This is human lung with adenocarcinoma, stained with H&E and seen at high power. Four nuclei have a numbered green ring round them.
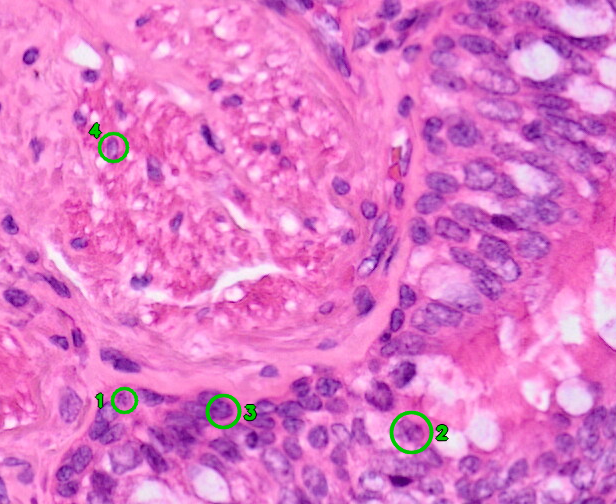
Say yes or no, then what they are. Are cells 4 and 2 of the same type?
No, that's wrong; cell 4 is a smooth muscle cell or pericyte and cell 2 is a ciliated epithelial cell.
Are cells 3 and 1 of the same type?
Yes, regarding cells 3 and 1, both are ciliated epithelial cells.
